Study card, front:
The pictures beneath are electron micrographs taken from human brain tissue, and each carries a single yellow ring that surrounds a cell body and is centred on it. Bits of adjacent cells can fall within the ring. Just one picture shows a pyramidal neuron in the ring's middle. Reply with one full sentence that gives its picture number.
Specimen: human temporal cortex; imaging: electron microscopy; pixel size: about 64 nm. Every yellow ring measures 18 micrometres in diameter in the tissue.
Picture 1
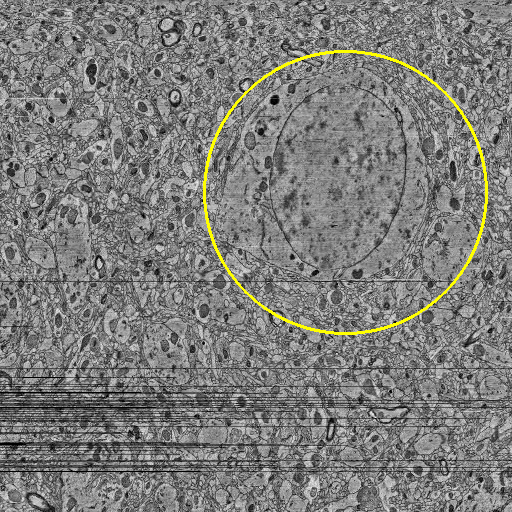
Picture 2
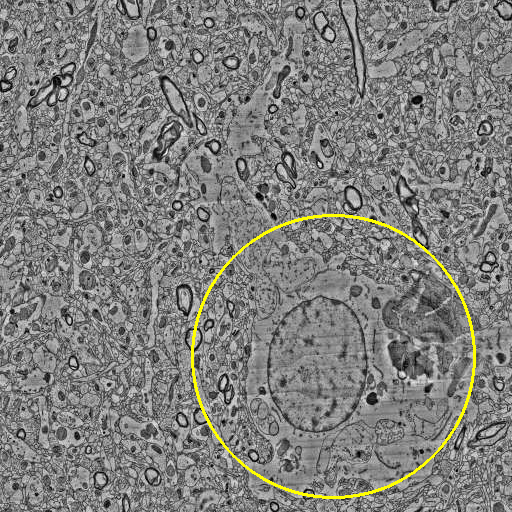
Picture 1 is the one whose ring has the requested cell at its centre.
